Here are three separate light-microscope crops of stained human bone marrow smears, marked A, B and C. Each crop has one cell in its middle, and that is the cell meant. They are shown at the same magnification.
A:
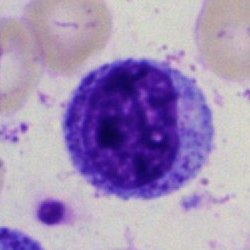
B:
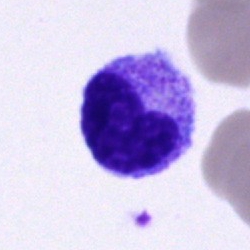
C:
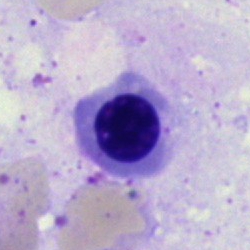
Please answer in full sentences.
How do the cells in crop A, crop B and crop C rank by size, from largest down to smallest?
The order is A, B, C, beginning with the largest.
